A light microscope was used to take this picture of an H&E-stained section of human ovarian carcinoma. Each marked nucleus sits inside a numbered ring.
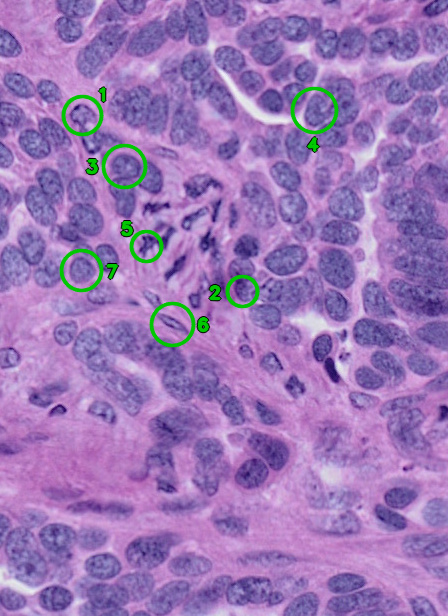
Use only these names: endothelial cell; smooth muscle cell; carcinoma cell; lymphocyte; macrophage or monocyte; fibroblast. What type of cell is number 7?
carcinoma cell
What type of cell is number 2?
carcinoma cell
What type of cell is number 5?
fibroblast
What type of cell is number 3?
carcinoma cell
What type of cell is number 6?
fibroblast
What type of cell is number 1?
fibroblast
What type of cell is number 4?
carcinoma cell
